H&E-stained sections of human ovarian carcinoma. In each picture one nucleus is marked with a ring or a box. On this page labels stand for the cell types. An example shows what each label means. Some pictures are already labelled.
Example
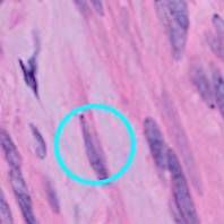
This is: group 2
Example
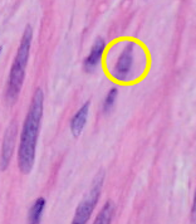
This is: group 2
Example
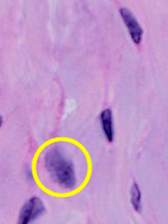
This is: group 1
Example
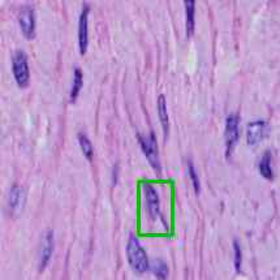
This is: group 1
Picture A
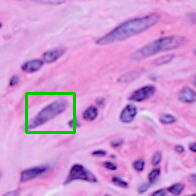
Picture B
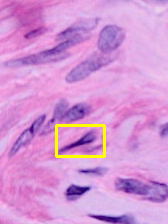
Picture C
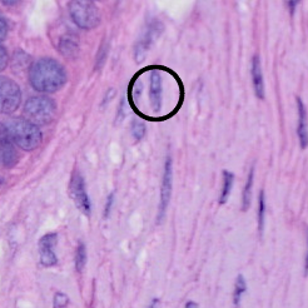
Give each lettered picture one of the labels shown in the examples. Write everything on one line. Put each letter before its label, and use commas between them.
A group 2, B group 2, C group 1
